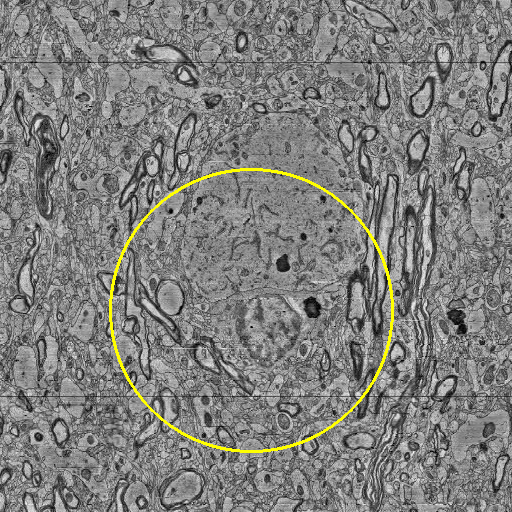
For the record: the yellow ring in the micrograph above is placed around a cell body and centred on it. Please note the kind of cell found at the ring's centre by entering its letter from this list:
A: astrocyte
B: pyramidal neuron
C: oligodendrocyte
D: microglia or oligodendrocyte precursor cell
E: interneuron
C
